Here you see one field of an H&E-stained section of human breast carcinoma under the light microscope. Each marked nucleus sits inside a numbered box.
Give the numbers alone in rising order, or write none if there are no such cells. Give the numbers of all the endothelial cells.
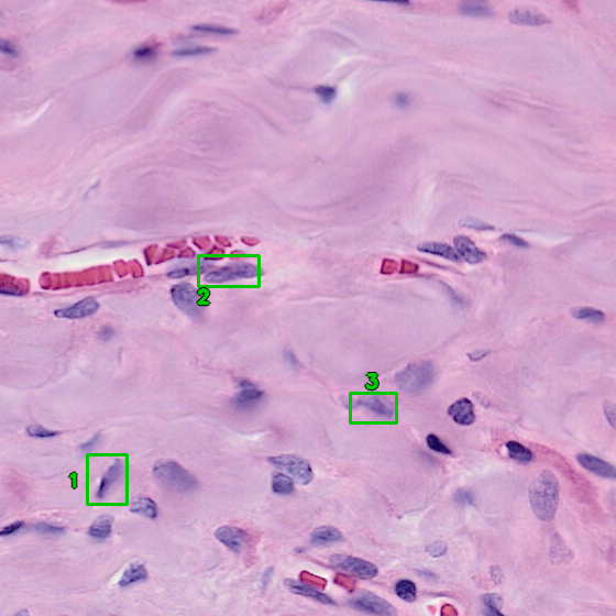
2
